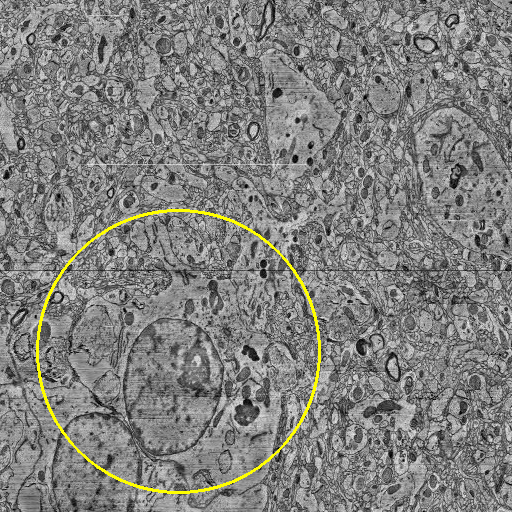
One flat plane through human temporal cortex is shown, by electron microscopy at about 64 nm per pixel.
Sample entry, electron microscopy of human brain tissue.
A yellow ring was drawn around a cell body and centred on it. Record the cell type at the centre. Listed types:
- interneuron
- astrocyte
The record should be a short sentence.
The cell at the ring's centre is an astrocyte.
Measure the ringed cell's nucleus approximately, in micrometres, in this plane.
The nucleus measures about 9 by 6 micrometres in this plane.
